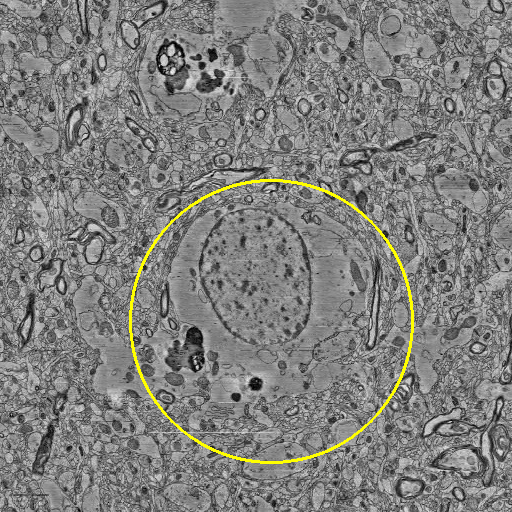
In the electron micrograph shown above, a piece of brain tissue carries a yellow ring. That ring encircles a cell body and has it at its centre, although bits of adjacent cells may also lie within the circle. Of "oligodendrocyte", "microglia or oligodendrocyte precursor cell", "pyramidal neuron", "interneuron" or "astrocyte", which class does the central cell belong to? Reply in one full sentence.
The cell body at the centre of the yellow ring belongs to an astrocyte.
